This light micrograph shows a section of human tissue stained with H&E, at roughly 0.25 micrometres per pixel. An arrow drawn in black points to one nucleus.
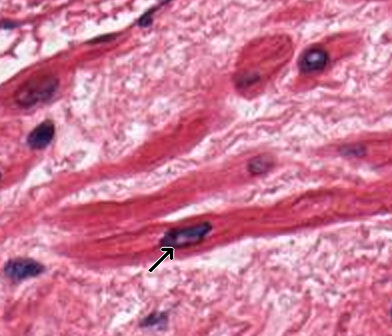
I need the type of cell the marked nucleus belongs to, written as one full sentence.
A nucleus of a cardiomyocyte is the one that is marked.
